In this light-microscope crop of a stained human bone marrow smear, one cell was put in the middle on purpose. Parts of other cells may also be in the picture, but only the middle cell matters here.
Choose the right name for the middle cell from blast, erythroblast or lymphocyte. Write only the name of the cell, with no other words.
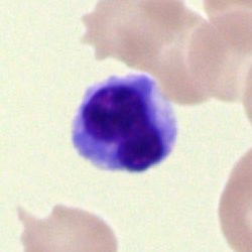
erythroblast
